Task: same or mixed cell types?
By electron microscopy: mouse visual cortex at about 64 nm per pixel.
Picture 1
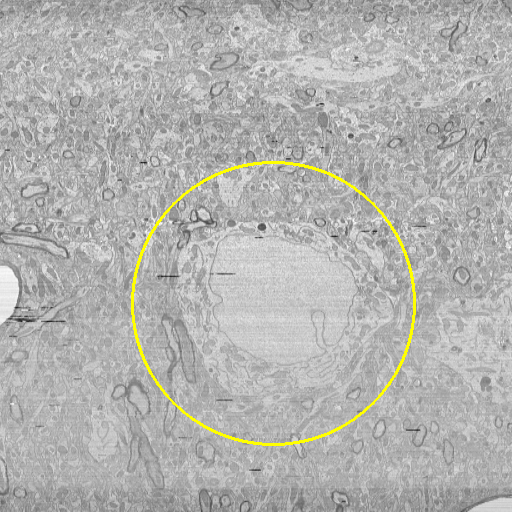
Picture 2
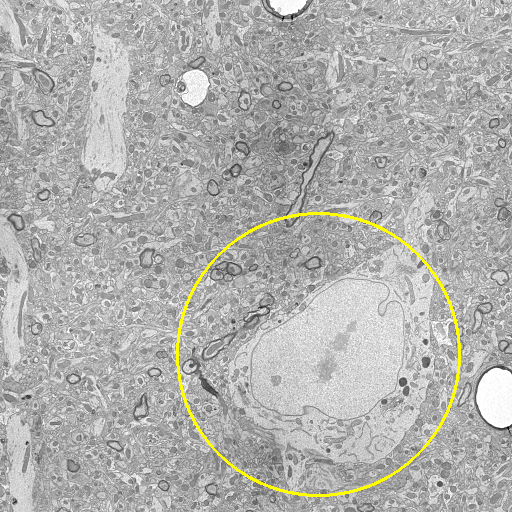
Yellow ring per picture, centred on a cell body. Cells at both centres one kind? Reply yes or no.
no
